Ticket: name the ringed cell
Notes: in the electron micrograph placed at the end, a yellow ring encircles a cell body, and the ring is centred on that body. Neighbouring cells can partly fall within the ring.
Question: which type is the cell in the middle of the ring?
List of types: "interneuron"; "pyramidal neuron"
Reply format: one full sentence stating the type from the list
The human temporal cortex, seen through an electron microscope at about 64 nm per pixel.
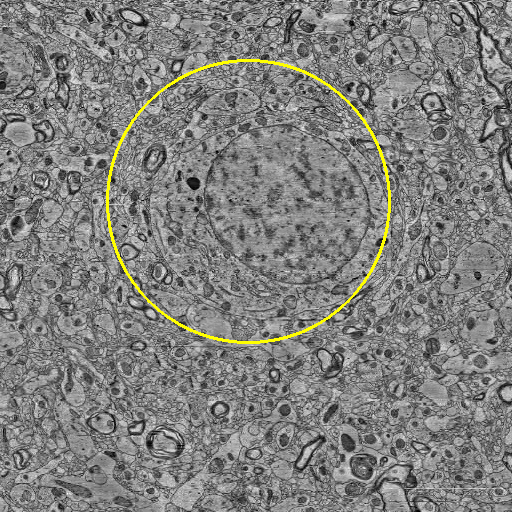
The cell sitting at the centre of the yellow ring is an interneuron.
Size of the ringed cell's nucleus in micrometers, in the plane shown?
In this plane, approximately 11 micrometres across.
